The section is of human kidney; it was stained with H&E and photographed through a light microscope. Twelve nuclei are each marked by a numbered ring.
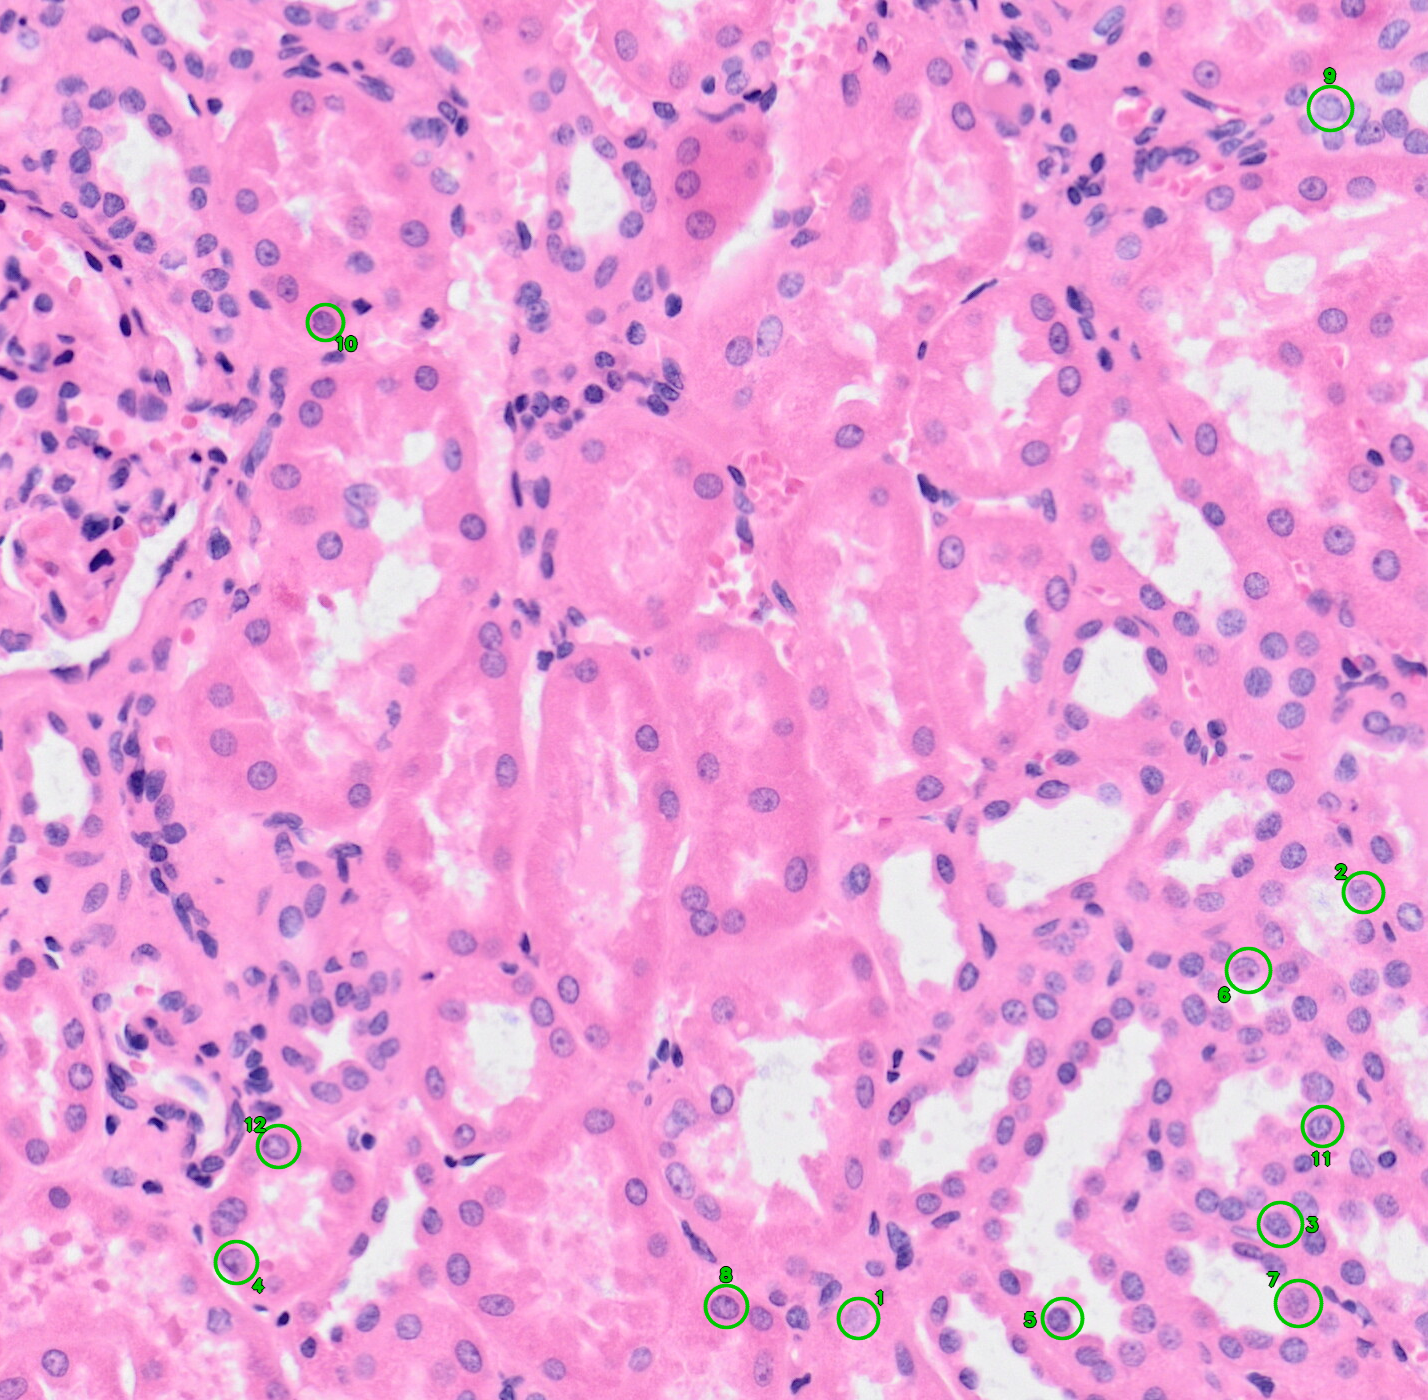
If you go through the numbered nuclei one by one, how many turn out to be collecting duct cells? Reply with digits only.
1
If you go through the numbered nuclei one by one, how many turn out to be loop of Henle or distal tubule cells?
6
